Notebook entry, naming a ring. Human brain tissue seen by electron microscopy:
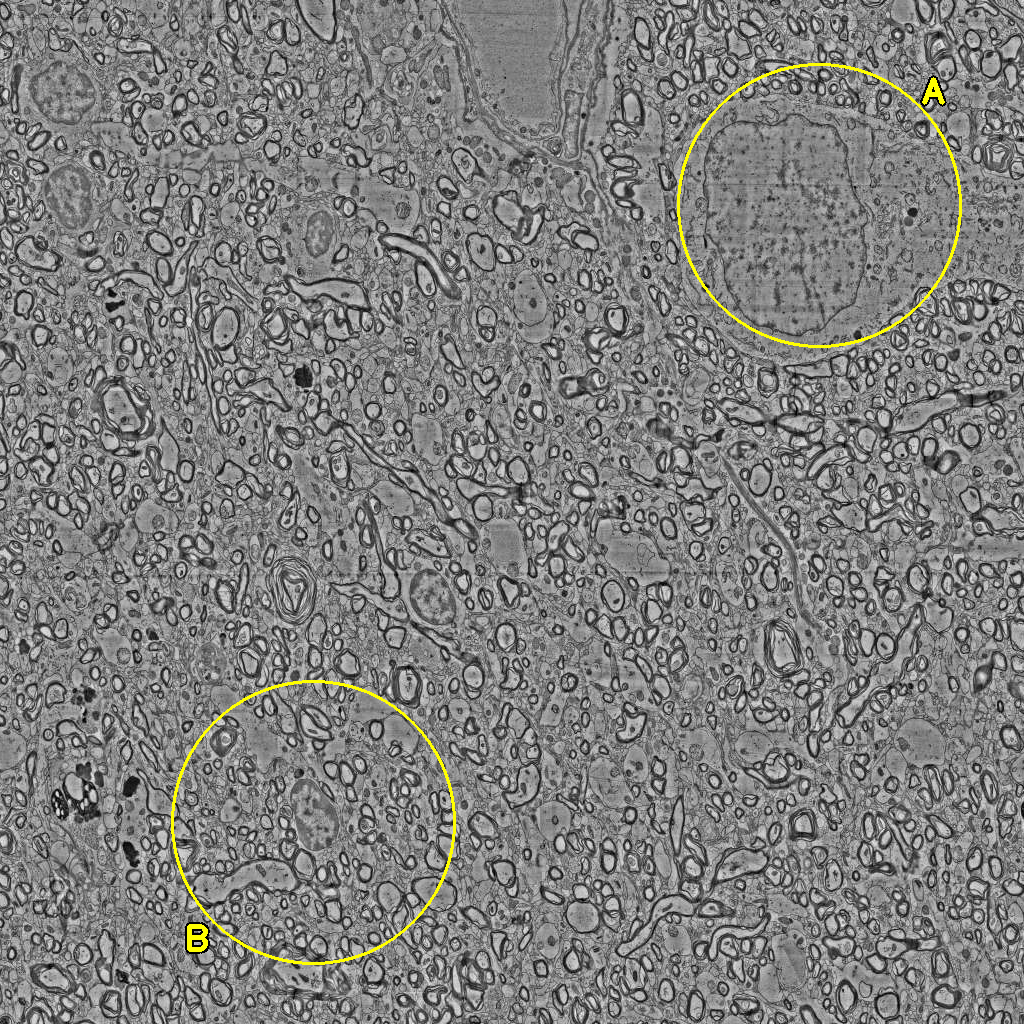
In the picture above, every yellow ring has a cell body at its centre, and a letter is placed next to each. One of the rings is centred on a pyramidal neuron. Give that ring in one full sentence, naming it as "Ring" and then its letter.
Ring A is the ring whose centre holds the cell asked for.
